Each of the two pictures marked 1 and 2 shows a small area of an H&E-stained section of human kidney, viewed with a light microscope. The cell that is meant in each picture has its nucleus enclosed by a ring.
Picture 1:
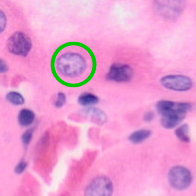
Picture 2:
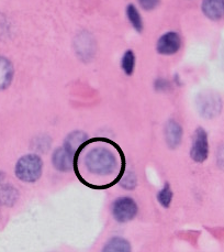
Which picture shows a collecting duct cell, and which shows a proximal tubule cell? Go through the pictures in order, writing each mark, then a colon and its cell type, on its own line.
1: proximal tubule cell
2: collecting duct cell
